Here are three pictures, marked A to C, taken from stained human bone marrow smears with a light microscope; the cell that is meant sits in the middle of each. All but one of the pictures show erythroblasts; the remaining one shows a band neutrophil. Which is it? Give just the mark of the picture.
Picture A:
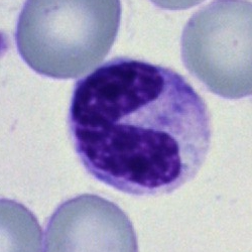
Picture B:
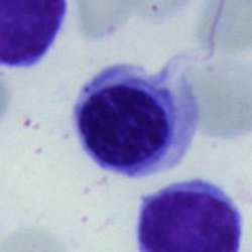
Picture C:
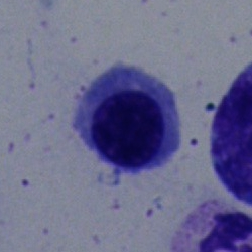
A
